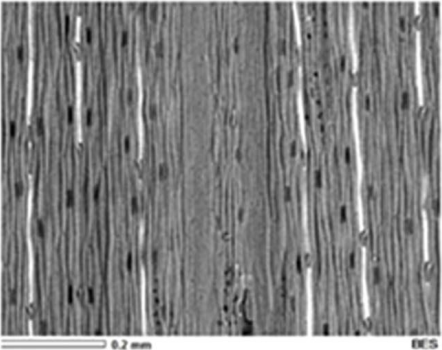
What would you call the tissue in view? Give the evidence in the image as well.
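Epidermal surface. Long narrow cells are arranged in parallel longitudinal files. Small dark short cells are interspersed along the files.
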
